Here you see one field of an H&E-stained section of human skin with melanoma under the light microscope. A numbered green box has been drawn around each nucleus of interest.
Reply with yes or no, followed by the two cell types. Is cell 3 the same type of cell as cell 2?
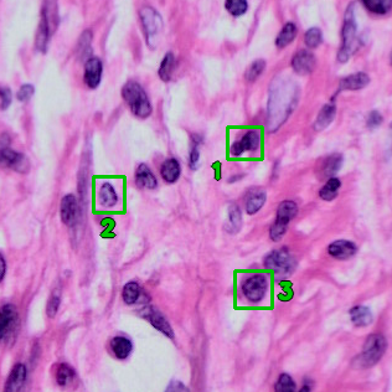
No, the cell tagged 3 is a plasma cell, whereas the cell tagged 2 is a lymphocyte.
